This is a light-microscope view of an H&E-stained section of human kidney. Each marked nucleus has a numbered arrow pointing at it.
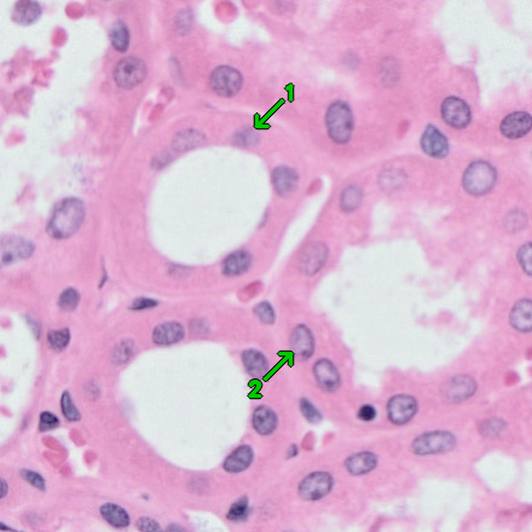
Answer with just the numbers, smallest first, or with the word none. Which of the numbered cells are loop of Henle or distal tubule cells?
1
